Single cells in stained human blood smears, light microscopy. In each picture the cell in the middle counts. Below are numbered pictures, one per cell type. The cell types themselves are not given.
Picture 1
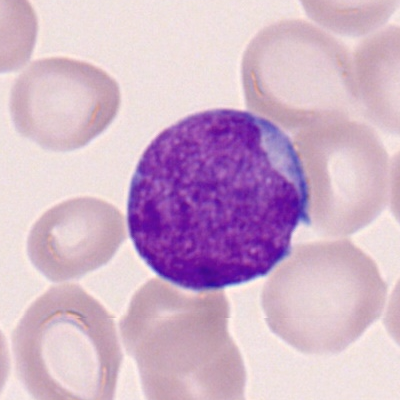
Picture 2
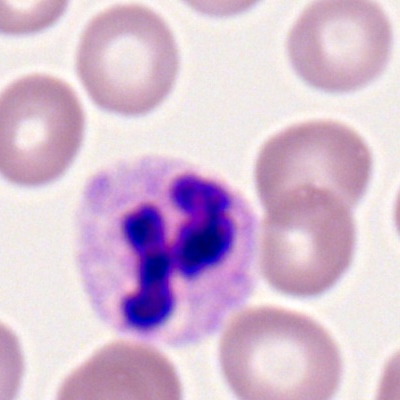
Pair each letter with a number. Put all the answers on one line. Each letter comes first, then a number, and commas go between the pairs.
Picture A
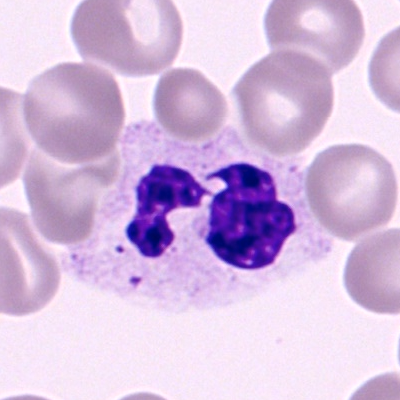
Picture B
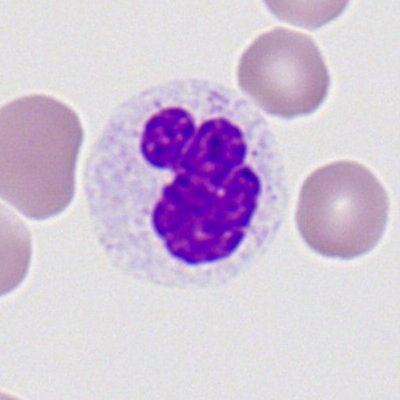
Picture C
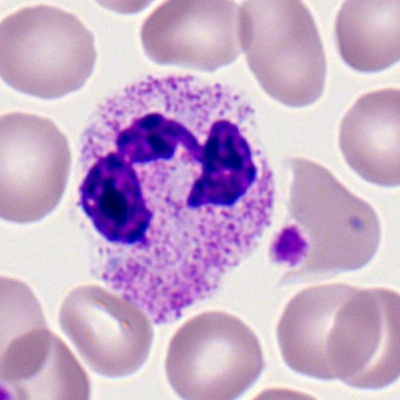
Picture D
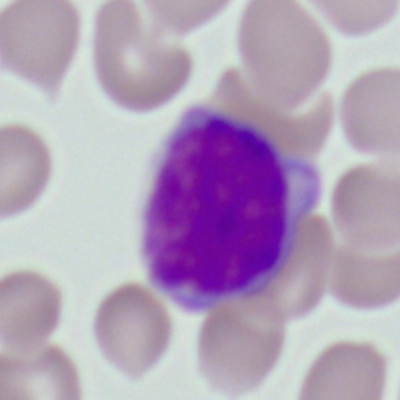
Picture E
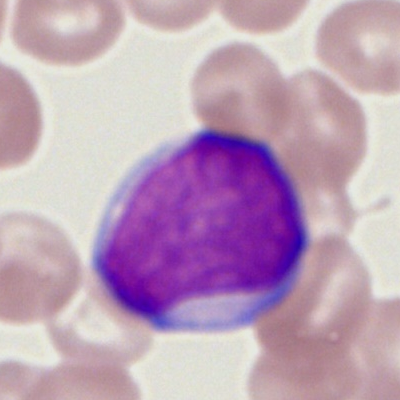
A 2, B 2, C 2, D 1, E 1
